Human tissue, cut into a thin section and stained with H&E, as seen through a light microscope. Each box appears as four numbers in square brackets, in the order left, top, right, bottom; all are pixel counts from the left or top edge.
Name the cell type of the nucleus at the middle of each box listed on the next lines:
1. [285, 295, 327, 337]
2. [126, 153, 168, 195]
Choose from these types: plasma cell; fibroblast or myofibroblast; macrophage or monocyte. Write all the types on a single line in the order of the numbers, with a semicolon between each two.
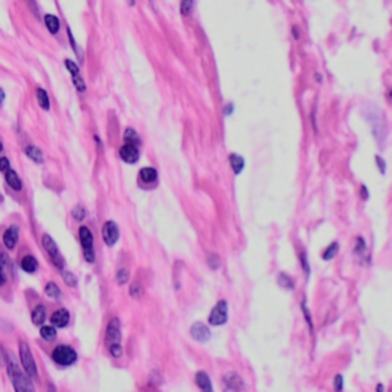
fibroblast or myofibroblast; plasma cell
